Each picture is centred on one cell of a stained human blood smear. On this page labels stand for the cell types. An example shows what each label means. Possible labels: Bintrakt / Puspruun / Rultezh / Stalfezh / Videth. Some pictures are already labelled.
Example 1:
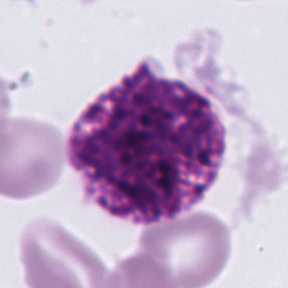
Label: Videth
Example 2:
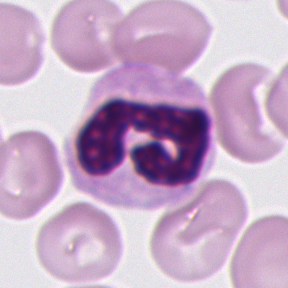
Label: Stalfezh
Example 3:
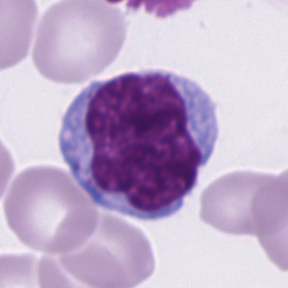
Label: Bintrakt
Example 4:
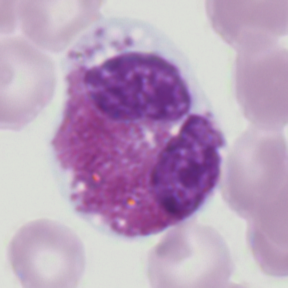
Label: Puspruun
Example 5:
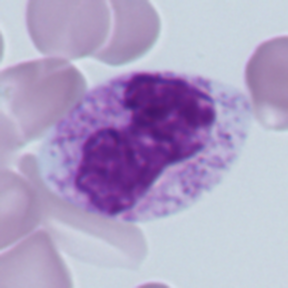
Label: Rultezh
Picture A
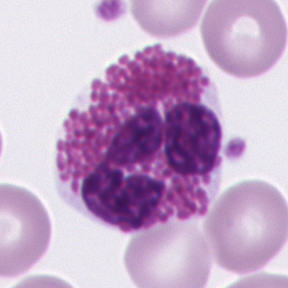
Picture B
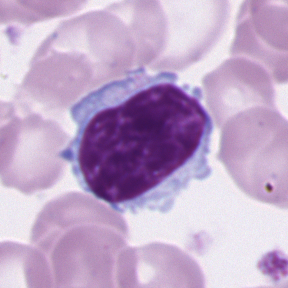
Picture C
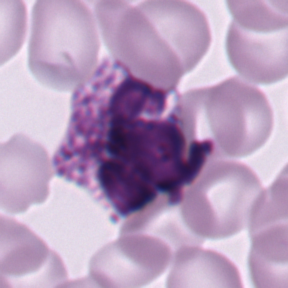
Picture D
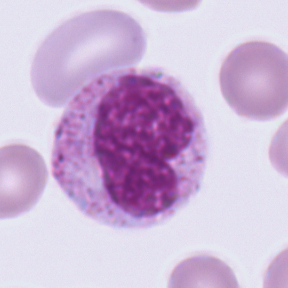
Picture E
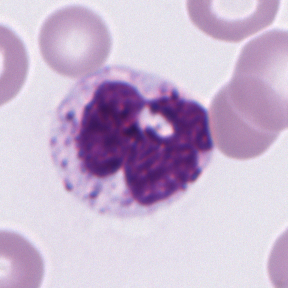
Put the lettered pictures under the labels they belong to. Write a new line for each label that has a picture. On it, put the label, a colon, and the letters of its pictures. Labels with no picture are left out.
Bintrakt: B
Puspruun: A
Rultezh: D
Videth: C, E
